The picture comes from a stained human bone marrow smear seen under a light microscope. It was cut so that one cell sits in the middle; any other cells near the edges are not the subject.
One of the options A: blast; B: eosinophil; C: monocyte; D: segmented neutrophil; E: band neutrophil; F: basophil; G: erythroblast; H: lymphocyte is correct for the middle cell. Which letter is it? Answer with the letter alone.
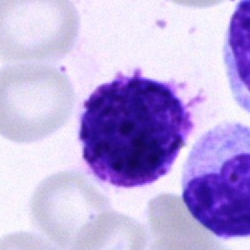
F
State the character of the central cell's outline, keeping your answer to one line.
Rather than running smoothly, the cell border is ragged or carries projections.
